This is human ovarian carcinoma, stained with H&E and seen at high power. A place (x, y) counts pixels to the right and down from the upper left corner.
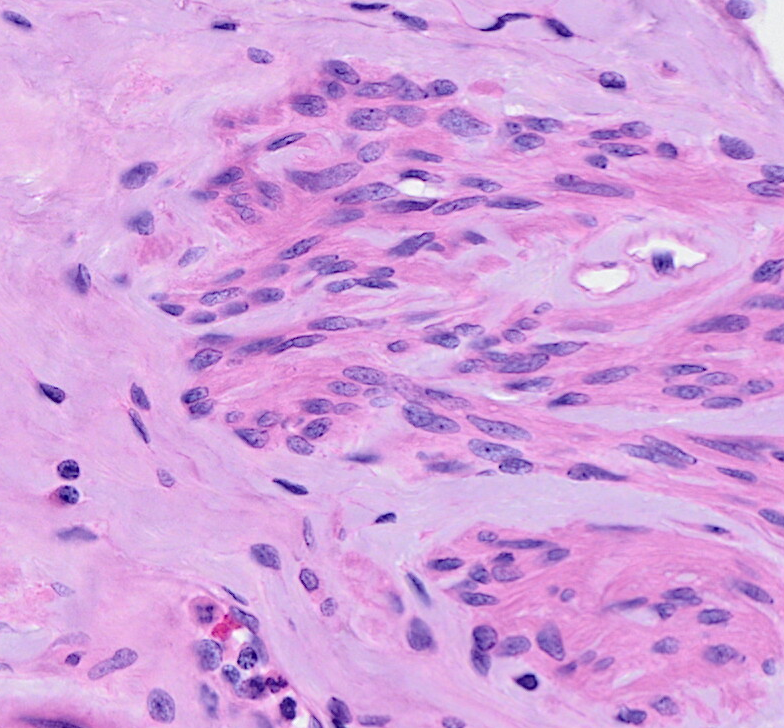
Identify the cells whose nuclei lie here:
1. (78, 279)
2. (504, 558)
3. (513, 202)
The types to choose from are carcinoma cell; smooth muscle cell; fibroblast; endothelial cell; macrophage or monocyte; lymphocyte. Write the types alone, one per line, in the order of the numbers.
fibroblast
smooth muscle cell
smooth muscle cell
